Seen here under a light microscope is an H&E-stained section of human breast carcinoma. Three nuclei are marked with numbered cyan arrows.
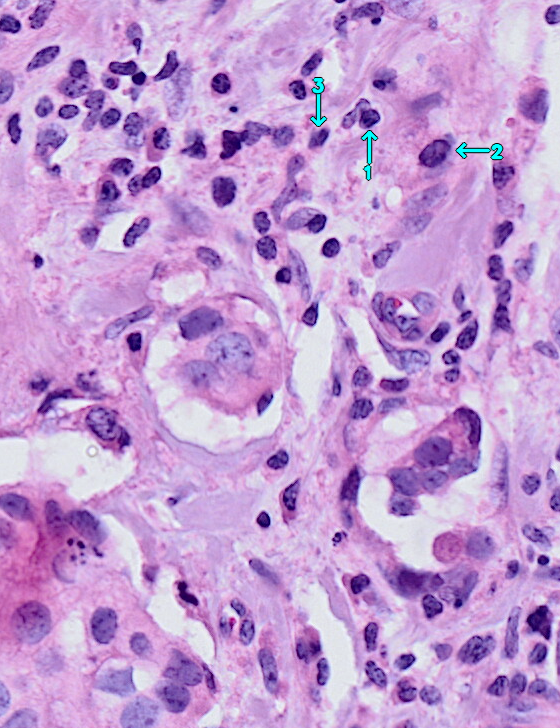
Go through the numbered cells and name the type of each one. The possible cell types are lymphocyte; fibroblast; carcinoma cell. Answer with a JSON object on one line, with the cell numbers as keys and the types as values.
{"1": "lymphocyte", "2": "carcinoma cell", "3": "lymphocyte"}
